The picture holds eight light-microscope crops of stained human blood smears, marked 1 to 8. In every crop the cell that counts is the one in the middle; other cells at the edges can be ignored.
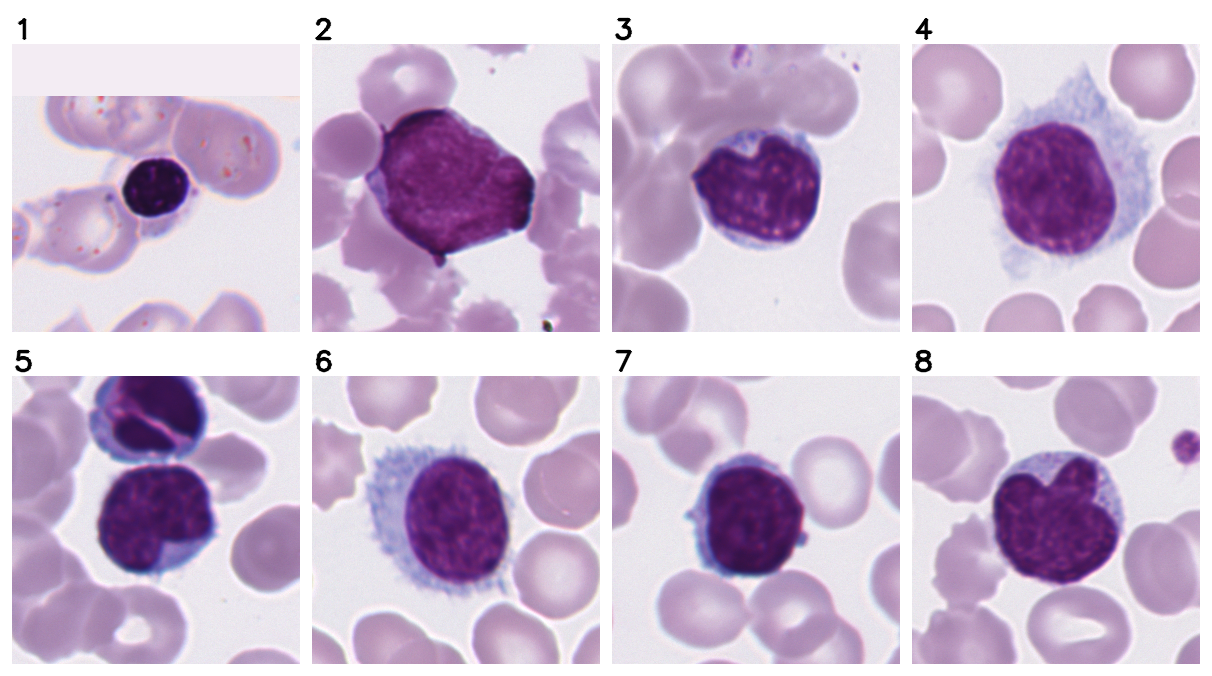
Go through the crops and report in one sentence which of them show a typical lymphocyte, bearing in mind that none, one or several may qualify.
In the centres of crops 5, 7 and 8 lie typical lymphocytes.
